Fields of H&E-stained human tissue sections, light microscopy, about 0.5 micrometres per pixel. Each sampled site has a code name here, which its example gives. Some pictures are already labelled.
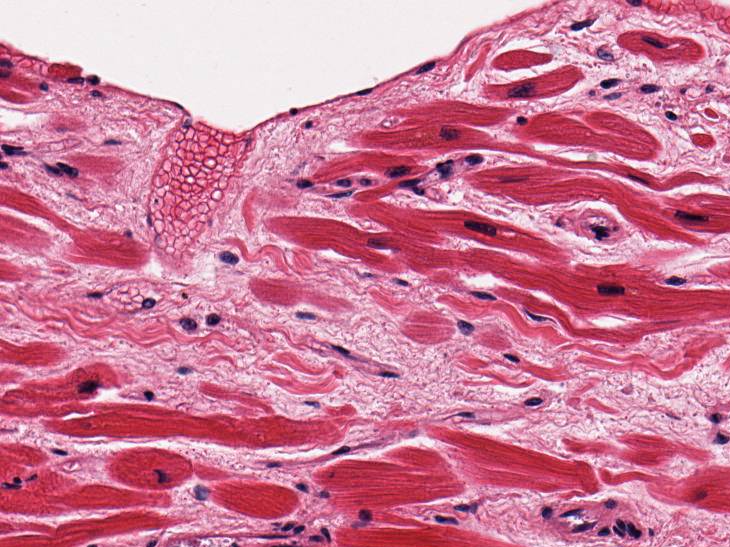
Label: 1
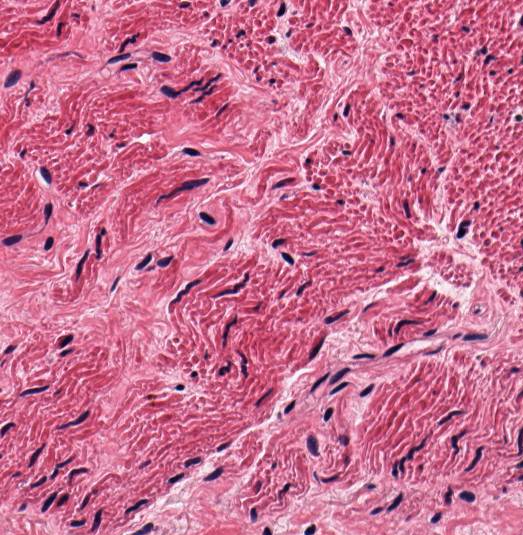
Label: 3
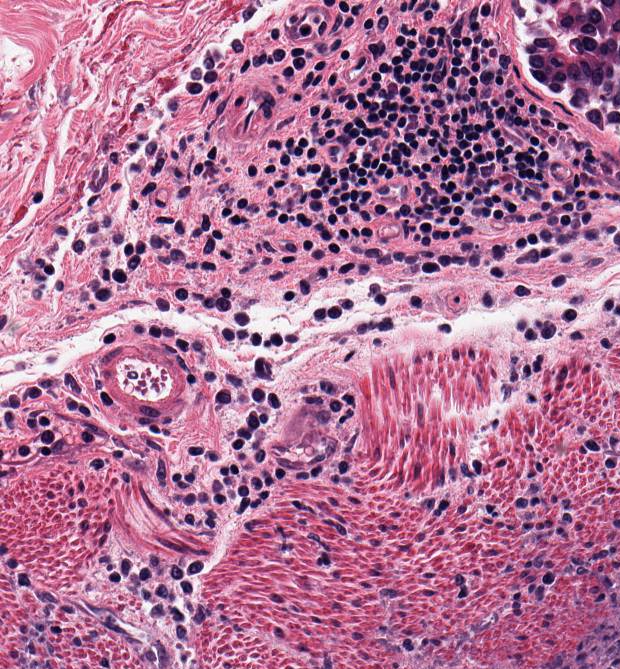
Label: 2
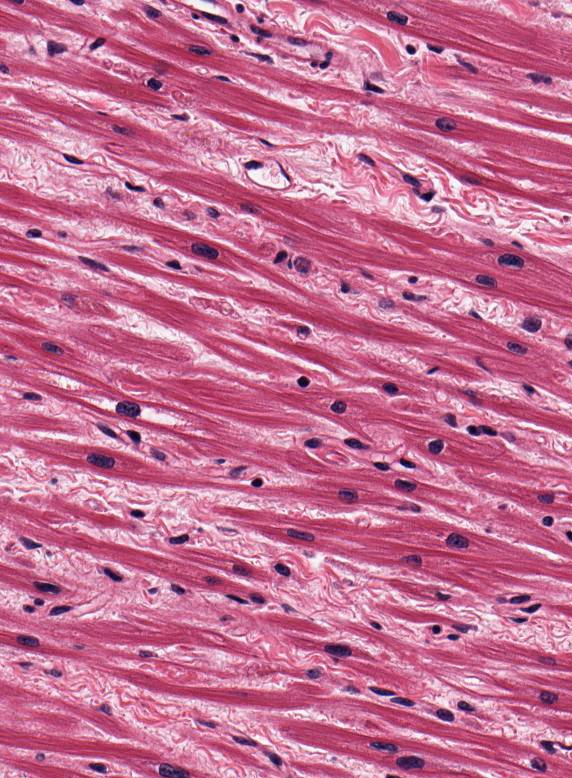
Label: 1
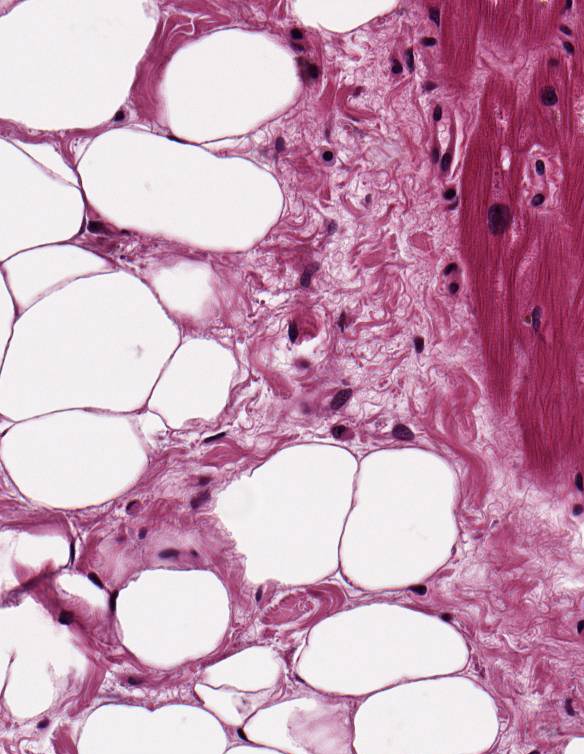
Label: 1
